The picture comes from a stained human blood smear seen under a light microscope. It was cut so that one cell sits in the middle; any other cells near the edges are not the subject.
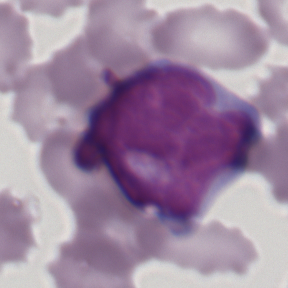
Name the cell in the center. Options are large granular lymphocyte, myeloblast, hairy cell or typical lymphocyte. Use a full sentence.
Here the centrally located cell is a myeloblast.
